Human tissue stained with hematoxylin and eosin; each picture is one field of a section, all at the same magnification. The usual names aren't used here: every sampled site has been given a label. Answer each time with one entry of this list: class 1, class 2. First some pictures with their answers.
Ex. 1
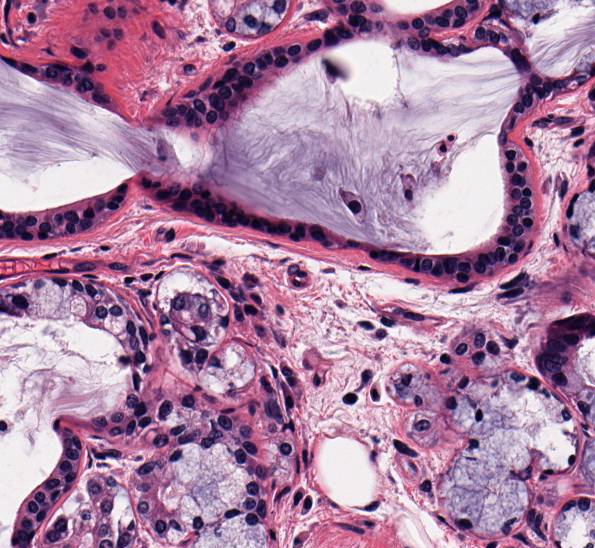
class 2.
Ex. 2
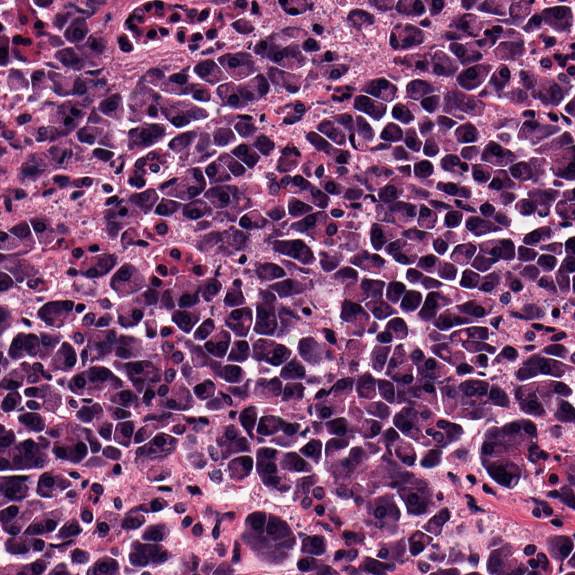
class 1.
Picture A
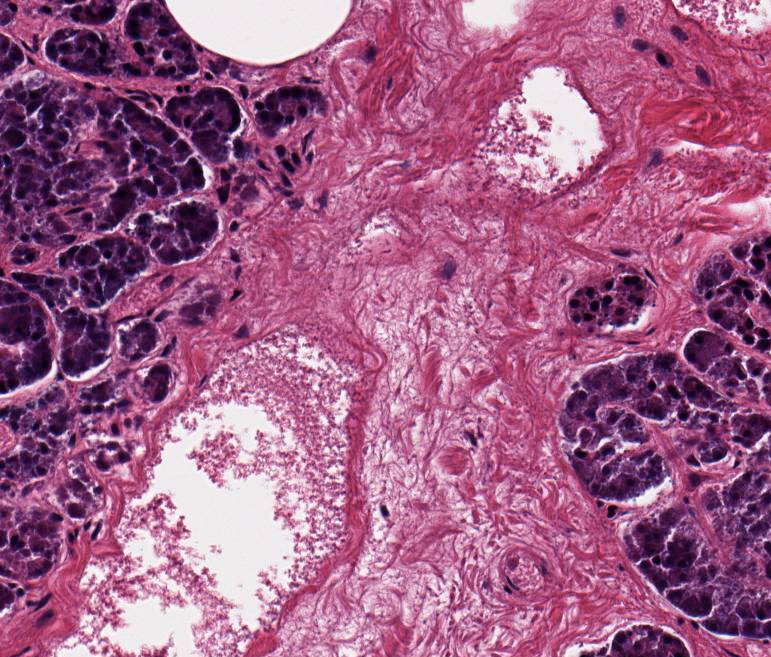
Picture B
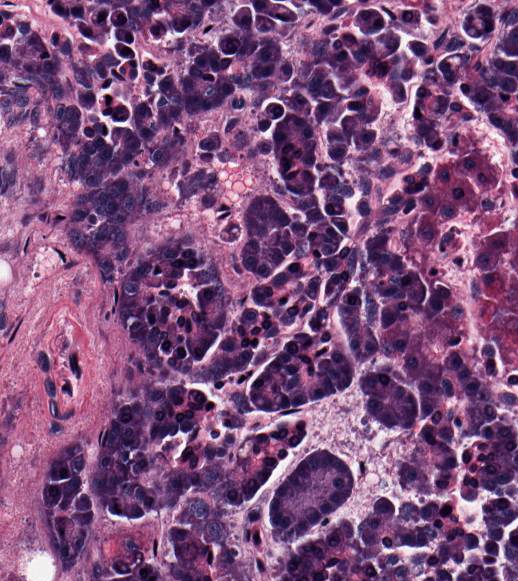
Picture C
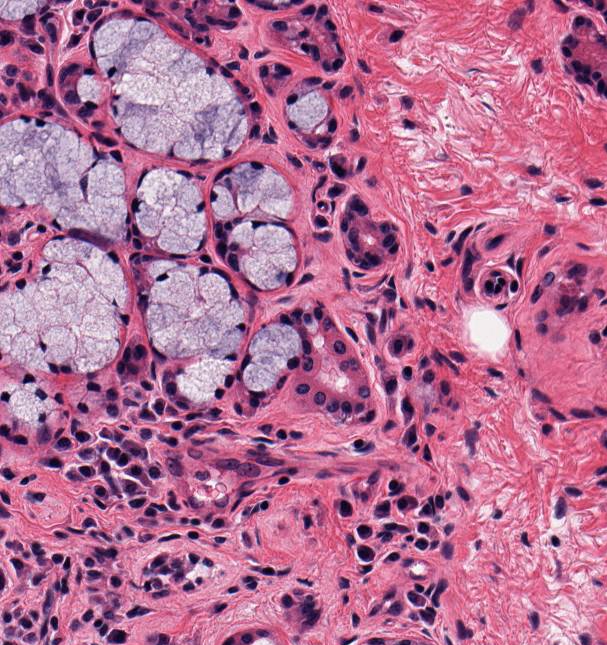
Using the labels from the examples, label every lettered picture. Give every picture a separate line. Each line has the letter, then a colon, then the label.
A: class 1.
B: class 1.
C: class 2.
